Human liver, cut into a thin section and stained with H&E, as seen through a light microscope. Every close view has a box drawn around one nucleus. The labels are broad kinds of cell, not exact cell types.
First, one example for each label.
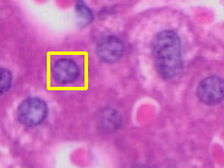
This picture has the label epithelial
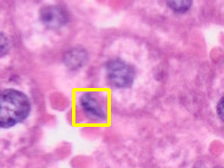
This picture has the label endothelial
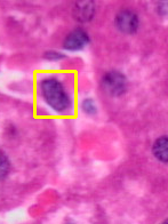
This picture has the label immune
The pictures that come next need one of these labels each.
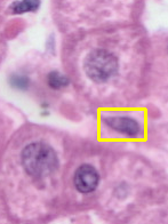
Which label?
immune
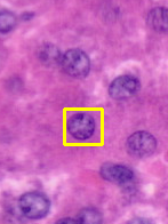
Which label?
epithelial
